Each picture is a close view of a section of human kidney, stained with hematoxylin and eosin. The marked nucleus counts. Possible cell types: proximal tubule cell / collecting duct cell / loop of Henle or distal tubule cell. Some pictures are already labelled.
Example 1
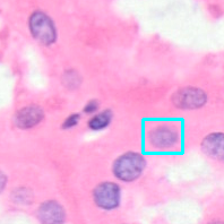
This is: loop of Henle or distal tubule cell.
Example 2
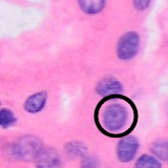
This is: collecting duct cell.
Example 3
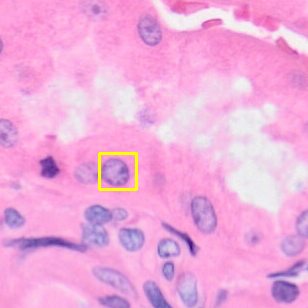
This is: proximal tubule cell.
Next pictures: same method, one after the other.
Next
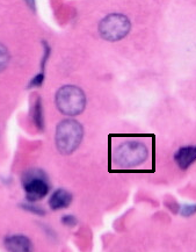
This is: proximal tubule cell.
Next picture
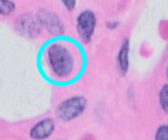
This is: collecting duct cell.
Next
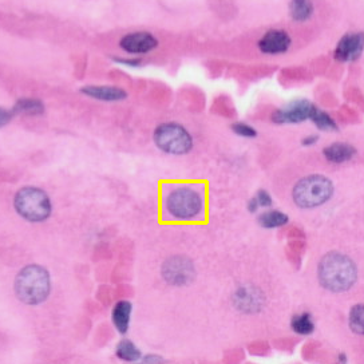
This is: proximal tubule cell.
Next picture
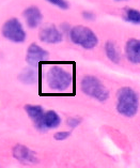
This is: collecting duct cell.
